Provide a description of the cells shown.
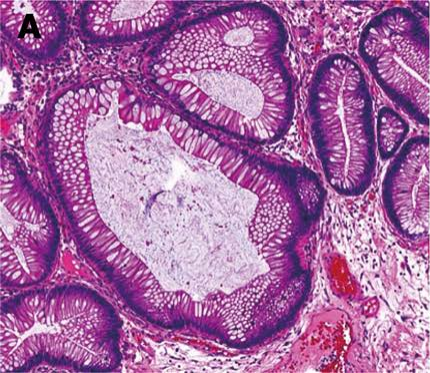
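Colonic mucosa with glands lined by tall columnar glandular epithelium rich in pale goblet cells, with dark basal nuclei in an orderly row. One gland is cystically dilated, its wide lumen filled with pale bluish-grey mucus. Narrow stroma with small vessels containing red blood cells lies between the glands.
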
